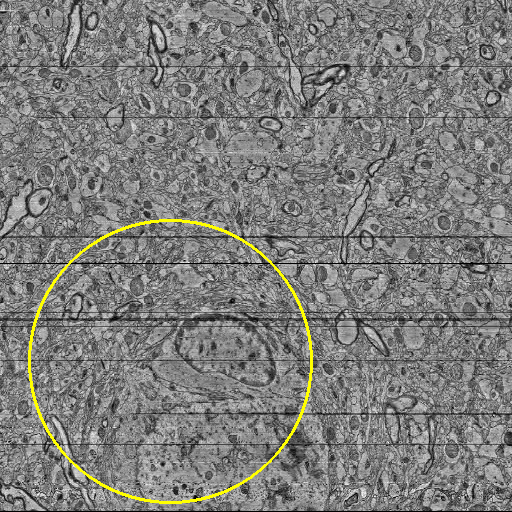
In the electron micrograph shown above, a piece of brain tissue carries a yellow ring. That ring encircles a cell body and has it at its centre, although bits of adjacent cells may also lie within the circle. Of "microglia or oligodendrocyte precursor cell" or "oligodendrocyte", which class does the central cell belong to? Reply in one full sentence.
The cell body at the centre of the yellow ring belongs to a microglial cell or oligodendrocyte precursor cell.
